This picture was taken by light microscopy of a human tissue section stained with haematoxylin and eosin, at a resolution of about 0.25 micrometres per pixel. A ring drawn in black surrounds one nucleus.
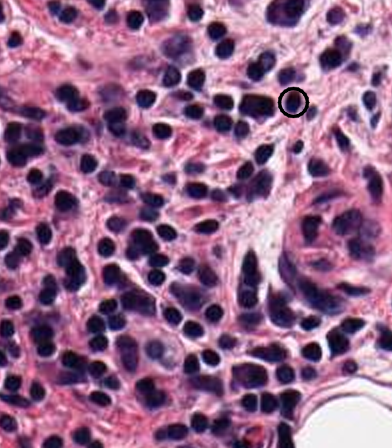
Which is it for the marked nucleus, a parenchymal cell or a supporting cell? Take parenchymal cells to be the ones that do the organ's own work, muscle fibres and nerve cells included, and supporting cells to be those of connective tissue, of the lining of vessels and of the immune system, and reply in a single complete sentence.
The marked nucleus is assigned to a supporting cell.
